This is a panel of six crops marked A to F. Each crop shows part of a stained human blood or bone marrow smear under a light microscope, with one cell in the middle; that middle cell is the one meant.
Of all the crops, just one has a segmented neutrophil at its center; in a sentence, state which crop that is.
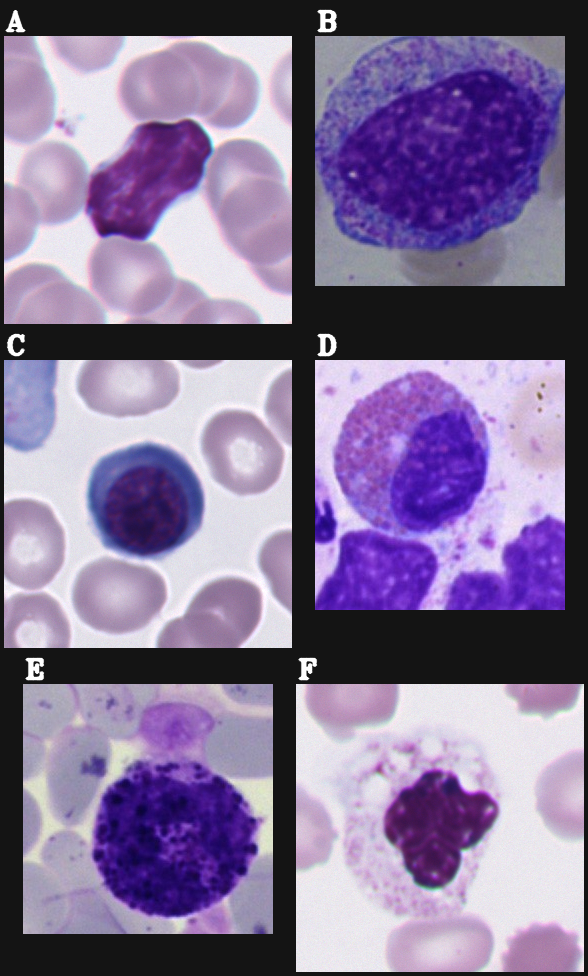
The crop with a segmented neutrophil at its center is crop F.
